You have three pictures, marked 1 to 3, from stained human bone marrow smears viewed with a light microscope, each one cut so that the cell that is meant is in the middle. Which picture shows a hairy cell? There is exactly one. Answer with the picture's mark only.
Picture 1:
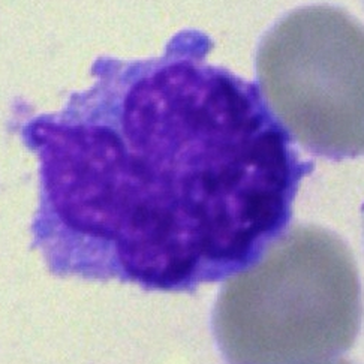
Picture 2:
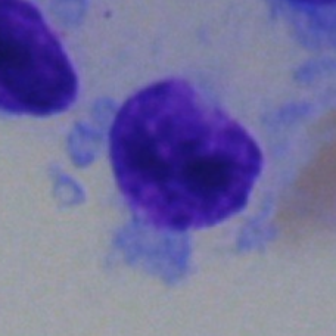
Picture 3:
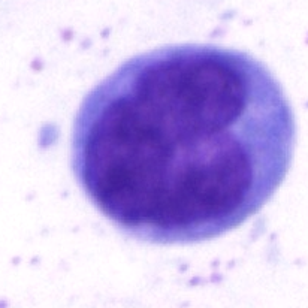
2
